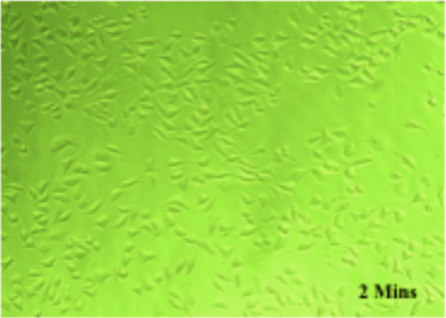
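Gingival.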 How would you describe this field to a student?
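These are cultured fibroblasts seen by phase contrast, growing as a flat, subconfluent monolayer attached to the dish. Most cells are elongated and spindle-shaped with tapering ends, and some are more triangular with a few short extensions. The cells are scattered with open spaces between them and lie in loosely aligned groups rather than in a dense sheet. A few smaller, rounded cells appear among the spread ones.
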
